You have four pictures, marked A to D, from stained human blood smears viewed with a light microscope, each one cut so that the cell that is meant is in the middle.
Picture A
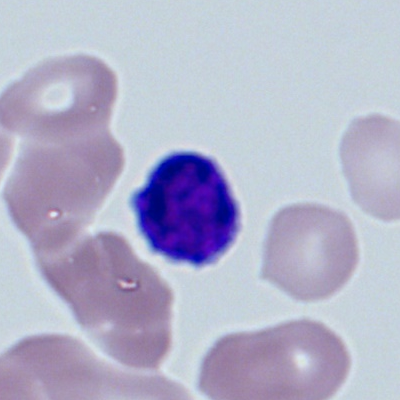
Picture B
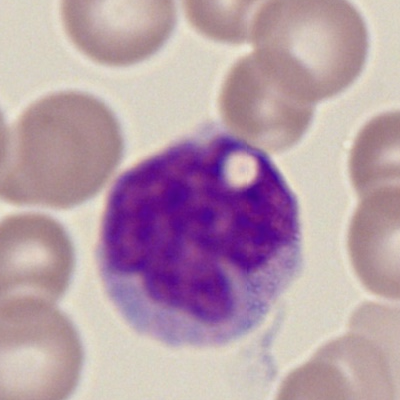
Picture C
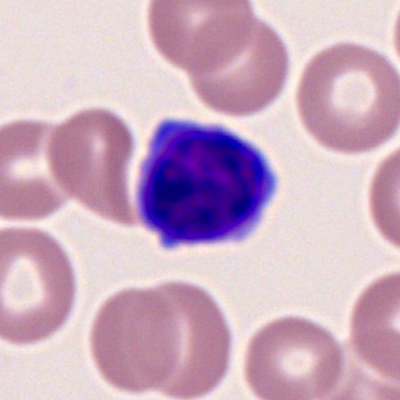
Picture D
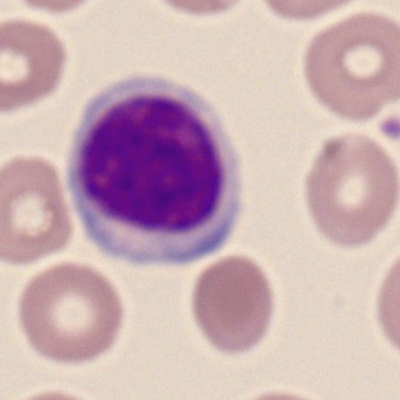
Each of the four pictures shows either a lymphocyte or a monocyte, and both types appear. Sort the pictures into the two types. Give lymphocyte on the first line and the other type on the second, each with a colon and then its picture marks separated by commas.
lymphocyte: A, C, D
monocyte: B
